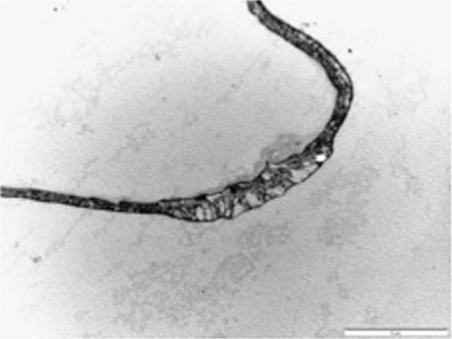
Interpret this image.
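Adipose tissue showing the narrow dark cytoplasmic rims of two adjacent adipocytes running between large pale lipid-filled areas. Along part of its course the band thickens and contains a meshwork of membranes and clear spaces, while elsewhere it stays thin and uniform.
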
